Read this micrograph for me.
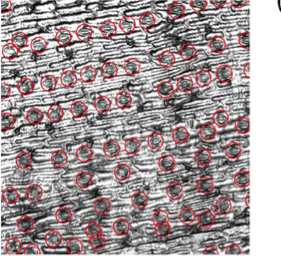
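This is the epidermis of a leaf surface seen face-on, with stomata ringed in red. The surface is built of long, narrow epidermal cells whose walls are strongly wavy, set end to end in parallel files that run diagonally across the field. Several such files cross the field, so the stomata appear numerous and evenly distributed over the surface.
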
